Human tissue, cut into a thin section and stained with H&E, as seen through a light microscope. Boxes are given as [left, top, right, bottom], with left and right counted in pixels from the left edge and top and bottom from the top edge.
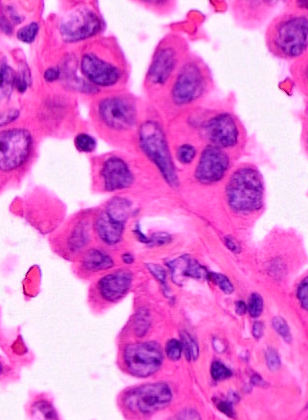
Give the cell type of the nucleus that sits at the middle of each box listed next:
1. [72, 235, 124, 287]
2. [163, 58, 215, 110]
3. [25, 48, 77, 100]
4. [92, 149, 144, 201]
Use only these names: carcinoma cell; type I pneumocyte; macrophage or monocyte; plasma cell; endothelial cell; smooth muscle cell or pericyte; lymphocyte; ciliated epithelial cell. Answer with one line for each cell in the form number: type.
1: carcinoma cell
2: carcinoma cell
3: lymphocyte
4: carcinoma cell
